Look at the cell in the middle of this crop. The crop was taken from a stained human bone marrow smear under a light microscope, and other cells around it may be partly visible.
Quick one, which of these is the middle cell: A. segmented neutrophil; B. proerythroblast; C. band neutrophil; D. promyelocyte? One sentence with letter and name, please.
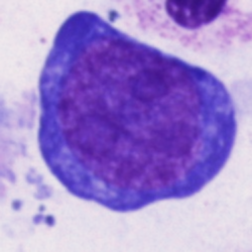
In this crop the middle cell is a proerythroblast, so option B is the correct answer.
